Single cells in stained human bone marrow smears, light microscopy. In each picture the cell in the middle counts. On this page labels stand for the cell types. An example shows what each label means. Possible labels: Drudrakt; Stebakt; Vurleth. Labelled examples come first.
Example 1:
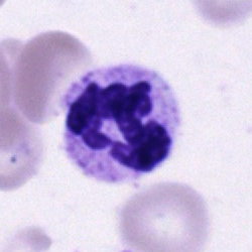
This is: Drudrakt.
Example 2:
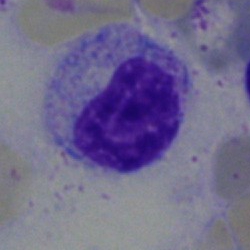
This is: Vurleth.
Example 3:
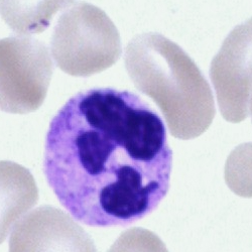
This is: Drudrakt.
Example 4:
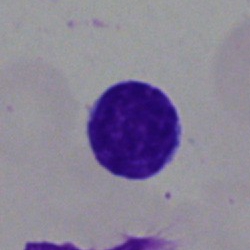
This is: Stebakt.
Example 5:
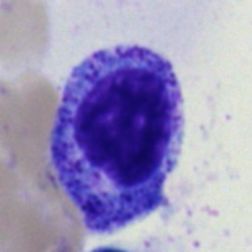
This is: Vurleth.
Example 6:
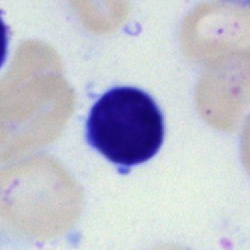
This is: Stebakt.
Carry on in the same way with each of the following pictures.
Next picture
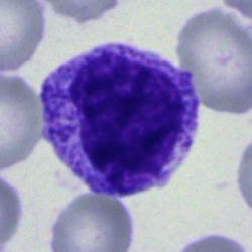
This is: Vurleth.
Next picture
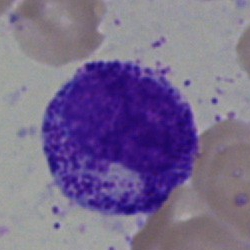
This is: Vurleth.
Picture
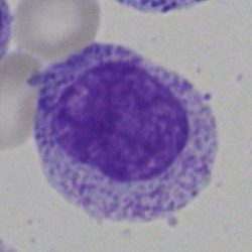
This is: Vurleth.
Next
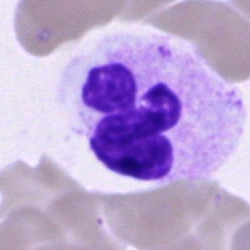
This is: Drudrakt.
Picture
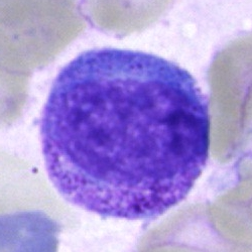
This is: Vurleth.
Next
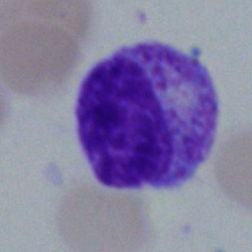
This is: Vurleth.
